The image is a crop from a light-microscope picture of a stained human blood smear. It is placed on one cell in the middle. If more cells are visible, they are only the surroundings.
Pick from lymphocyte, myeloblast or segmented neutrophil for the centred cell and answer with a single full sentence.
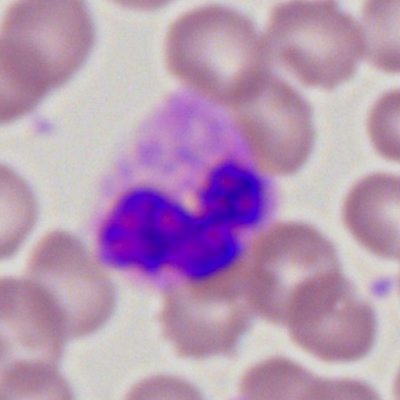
In short, the cell at the center is a segmented neutrophil.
